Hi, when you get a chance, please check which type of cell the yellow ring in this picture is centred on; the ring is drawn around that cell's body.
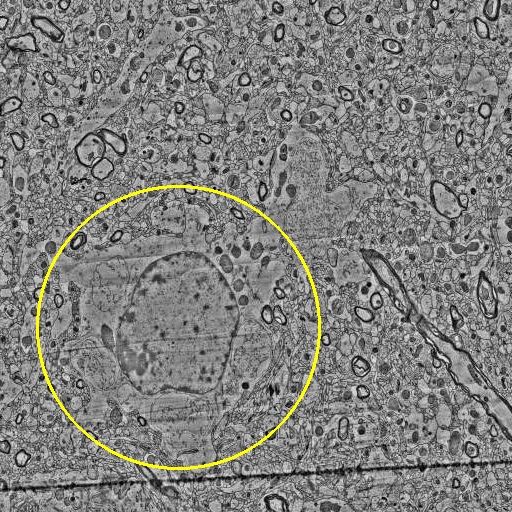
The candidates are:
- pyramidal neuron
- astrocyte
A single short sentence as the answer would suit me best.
The ring is drawn around the body of an astrocyte.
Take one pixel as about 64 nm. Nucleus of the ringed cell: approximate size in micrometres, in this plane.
The nucleus works out at approximately 9 by 7 micrometres in this plane.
